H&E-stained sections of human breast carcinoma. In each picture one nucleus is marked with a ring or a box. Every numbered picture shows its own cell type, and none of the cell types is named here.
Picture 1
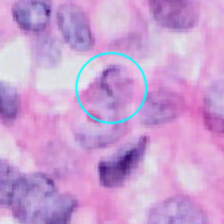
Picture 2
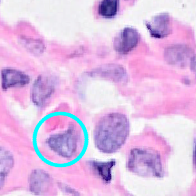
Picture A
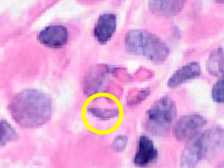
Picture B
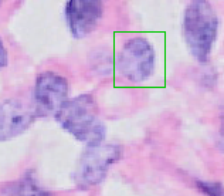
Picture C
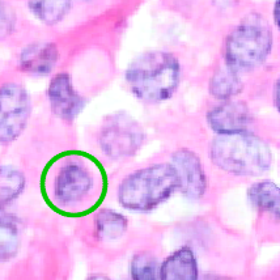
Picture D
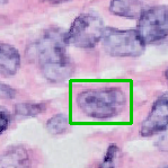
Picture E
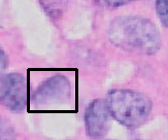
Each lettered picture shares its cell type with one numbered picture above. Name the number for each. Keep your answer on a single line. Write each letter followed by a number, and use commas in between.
A 2, B 1, C 1, D 1, E 1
